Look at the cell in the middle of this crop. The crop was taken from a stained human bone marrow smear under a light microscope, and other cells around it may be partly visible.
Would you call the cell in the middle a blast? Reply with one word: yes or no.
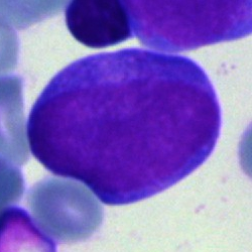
yes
